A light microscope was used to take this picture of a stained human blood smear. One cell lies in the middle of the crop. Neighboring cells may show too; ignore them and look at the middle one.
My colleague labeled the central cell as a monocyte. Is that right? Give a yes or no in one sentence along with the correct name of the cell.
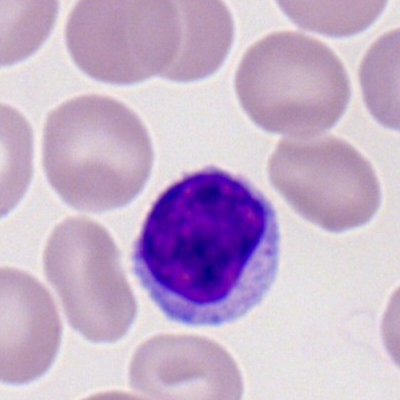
No, instead of being a monocyte, the middle cell is a lymphocyte.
